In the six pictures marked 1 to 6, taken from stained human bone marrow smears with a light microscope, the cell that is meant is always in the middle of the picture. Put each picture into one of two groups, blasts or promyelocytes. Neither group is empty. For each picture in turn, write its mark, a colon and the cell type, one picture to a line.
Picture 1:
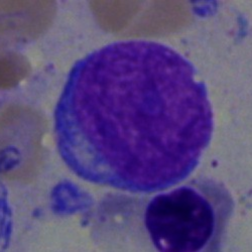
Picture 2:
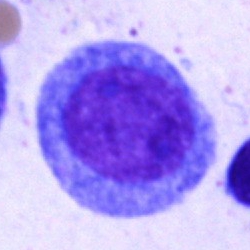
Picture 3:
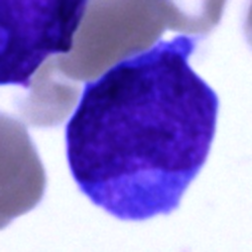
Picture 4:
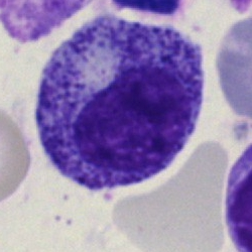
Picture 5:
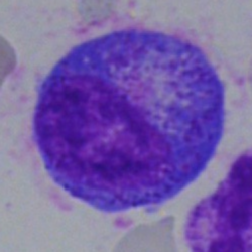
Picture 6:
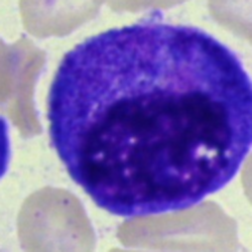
1: blast
2: promyelocyte
3: blast
4: promyelocyte
5: promyelocyte
6: promyelocyte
